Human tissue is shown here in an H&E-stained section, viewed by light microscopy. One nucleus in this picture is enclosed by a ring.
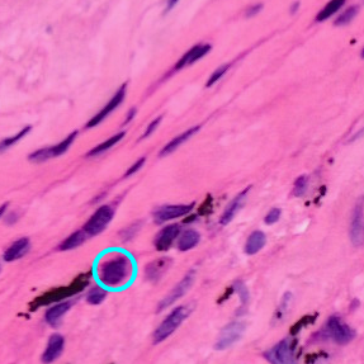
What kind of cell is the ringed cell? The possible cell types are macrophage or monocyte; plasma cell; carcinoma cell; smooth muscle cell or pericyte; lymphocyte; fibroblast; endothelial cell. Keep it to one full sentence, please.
The identity of the ringed cell is that of a plasma cell.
